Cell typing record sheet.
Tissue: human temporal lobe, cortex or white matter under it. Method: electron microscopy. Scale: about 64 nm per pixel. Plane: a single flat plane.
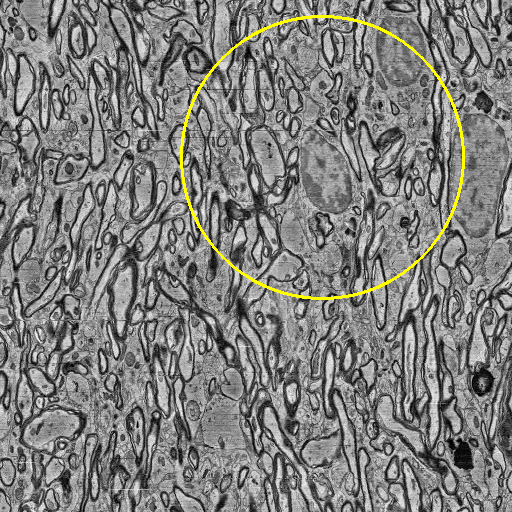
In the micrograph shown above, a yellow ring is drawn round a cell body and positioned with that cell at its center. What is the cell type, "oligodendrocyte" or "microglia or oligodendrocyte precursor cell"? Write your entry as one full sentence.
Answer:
The cell body at the center of the ring belongs to a microglial cell or oligodendrocyte precursor cell.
